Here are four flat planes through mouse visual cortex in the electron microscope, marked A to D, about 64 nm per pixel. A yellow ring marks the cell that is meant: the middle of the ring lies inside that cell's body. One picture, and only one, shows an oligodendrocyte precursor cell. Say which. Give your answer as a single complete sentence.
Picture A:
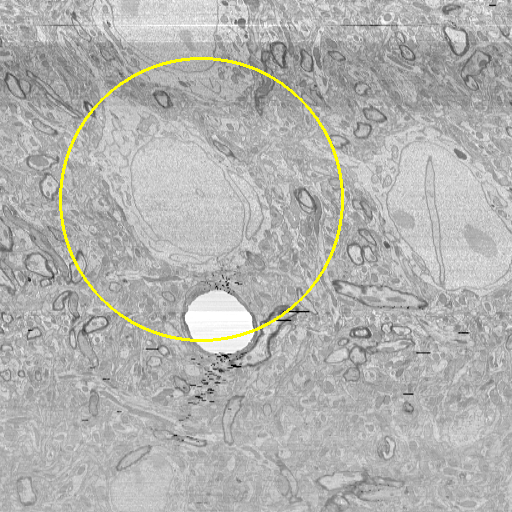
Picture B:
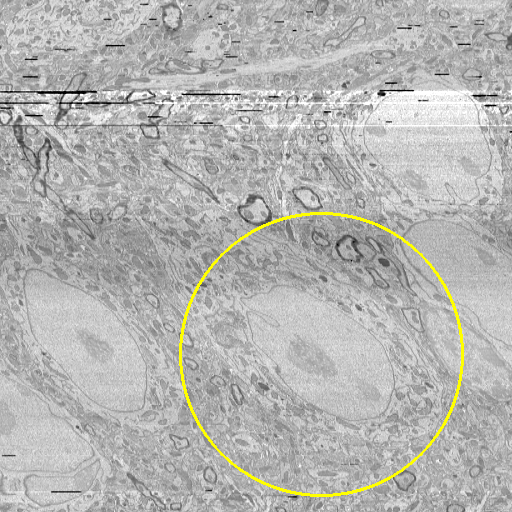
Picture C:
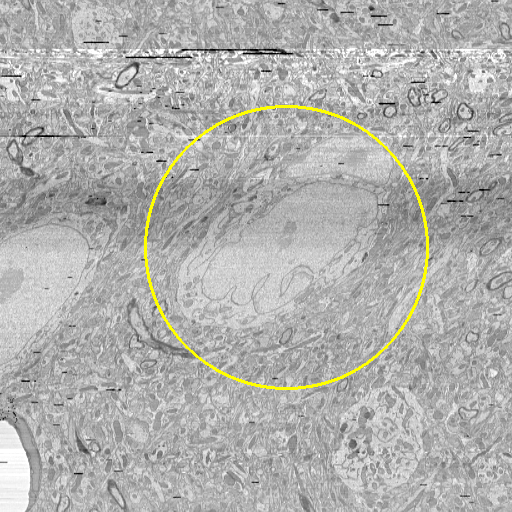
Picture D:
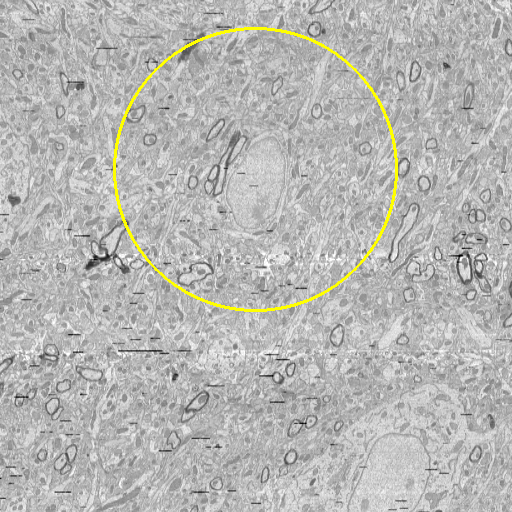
The cell in picture D is the oligodendrocyte precursor cell.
